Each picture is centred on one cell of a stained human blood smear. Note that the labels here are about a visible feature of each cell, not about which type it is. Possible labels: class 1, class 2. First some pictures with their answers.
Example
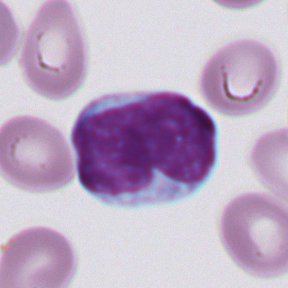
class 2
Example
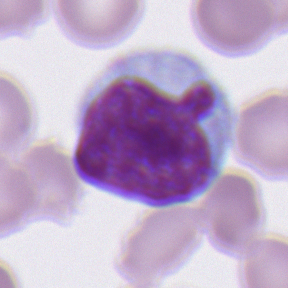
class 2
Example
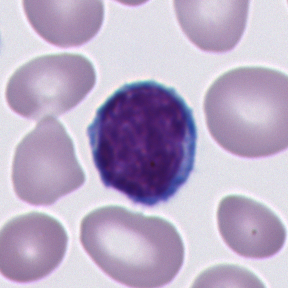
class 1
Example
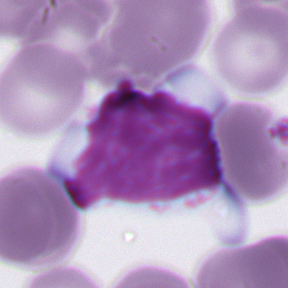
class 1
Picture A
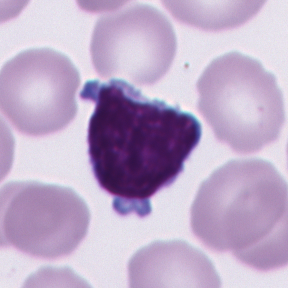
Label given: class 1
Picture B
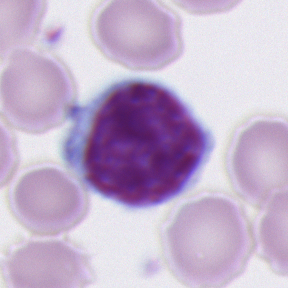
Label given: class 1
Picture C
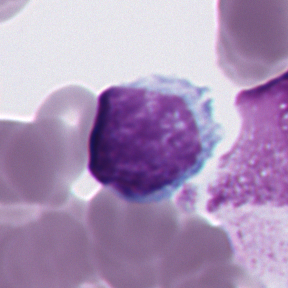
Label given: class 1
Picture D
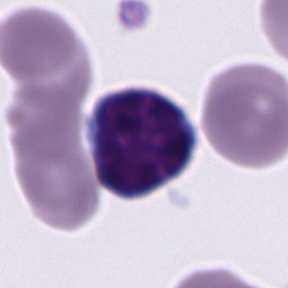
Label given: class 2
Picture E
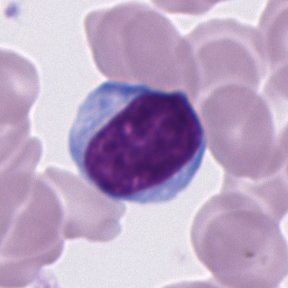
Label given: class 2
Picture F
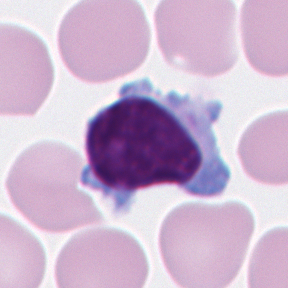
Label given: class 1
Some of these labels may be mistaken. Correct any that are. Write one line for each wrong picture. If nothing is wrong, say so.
No label is wrong.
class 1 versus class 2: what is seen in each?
In class 1: ragged outline or projections. In class 2: smooth outline.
